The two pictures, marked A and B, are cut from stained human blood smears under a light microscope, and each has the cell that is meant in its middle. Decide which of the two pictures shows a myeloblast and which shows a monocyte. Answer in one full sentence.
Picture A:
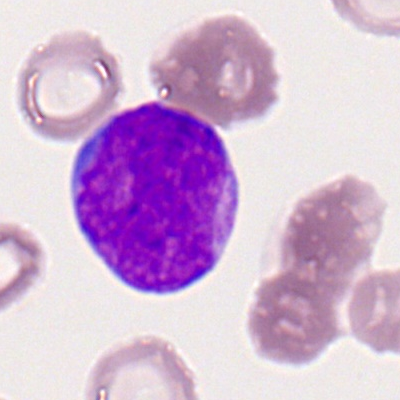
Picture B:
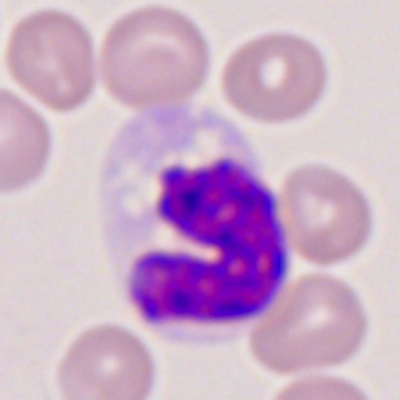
Picture A shows a myeloblast and picture B shows a monocyte.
